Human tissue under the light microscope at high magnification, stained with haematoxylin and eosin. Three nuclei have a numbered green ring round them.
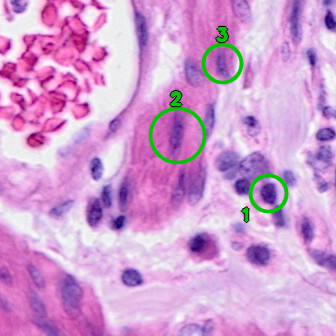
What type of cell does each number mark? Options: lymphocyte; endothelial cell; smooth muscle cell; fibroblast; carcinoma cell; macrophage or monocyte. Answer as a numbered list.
1. lymphocyte
2. smooth muscle cell
3. smooth muscle cell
